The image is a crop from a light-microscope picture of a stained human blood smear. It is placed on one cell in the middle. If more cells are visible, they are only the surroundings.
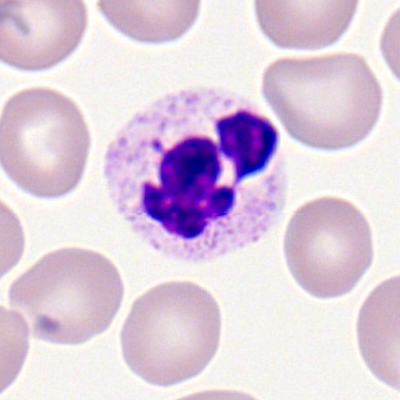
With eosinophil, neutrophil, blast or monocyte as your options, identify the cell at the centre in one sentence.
The central cell, amid any neighbouring cells, is a neutrophil.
